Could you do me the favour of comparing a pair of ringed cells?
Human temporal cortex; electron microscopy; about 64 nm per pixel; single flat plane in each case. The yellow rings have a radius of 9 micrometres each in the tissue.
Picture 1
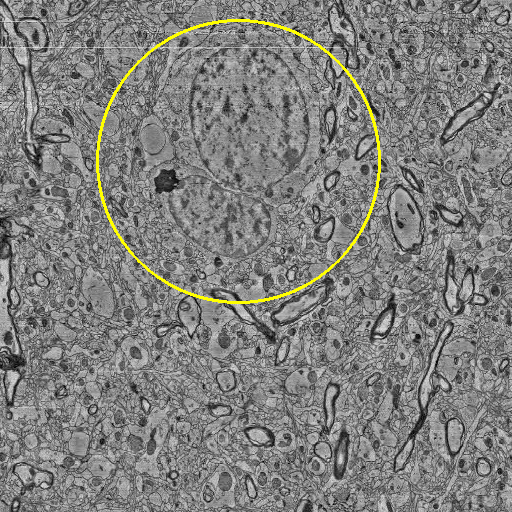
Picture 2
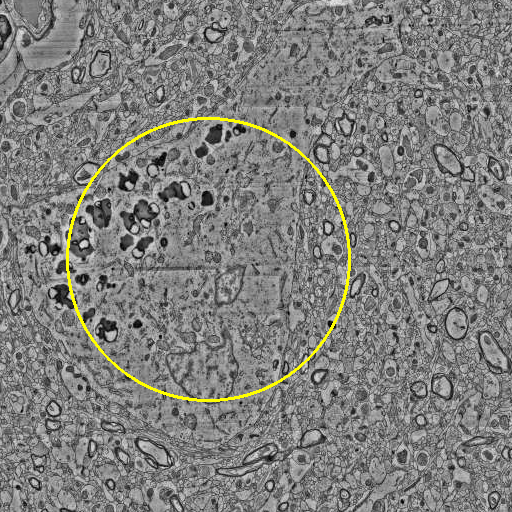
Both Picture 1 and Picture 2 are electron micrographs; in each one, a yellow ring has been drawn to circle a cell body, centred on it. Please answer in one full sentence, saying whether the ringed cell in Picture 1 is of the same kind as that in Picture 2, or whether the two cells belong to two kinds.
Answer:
The ringed cells in Picture 1 and Picture 2 belong to two kinds.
